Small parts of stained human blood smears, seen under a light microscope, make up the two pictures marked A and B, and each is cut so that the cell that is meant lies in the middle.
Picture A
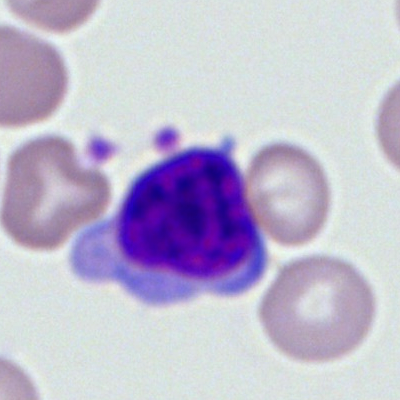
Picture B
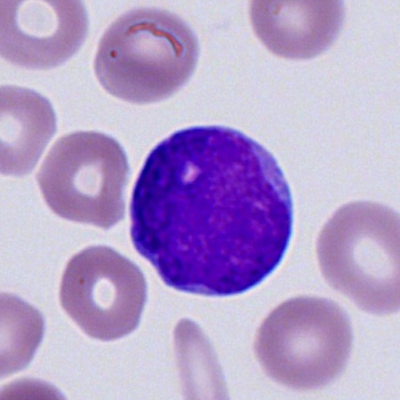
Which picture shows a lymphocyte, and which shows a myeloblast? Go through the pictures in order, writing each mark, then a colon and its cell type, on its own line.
A: lymphocyte
B: myeloblast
